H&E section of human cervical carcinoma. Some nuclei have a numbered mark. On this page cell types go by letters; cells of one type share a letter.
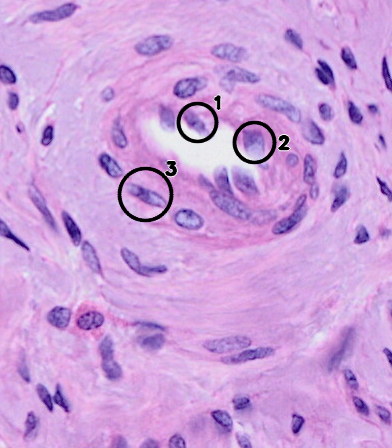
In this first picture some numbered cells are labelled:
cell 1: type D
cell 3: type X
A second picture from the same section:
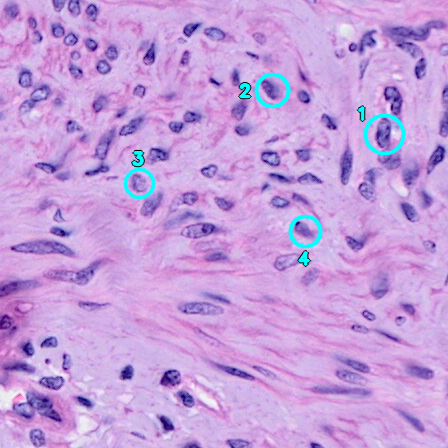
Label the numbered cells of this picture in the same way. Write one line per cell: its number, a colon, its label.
1: type D
2: type X
3: type X
4: type X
